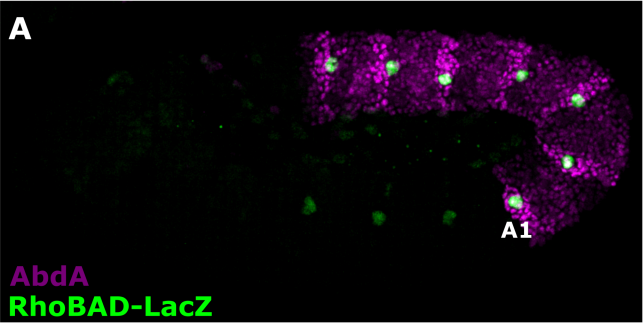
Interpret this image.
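This is a side view of an embryo in which the abdominal segments are filled with purple-stained nuclei, while the thoracic segments further forward carry no purple. The purple nuclei are small, round and densely packed, forming a broad band that runs along the trunk and curves round at its far end. Within each purple segment lies a single bright green cell, so the green cells form an evenly spaced segmentally repeated row. The green cells sit among the purple nuclei rather than forming a layer of their own.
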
